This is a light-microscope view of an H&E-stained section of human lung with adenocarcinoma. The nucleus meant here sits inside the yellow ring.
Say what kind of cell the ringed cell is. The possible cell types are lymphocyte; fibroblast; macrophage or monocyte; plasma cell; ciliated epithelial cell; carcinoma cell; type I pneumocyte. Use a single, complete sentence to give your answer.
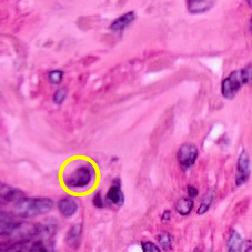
In this tissue section, the ringed cell is to be classed as a plasma cell.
